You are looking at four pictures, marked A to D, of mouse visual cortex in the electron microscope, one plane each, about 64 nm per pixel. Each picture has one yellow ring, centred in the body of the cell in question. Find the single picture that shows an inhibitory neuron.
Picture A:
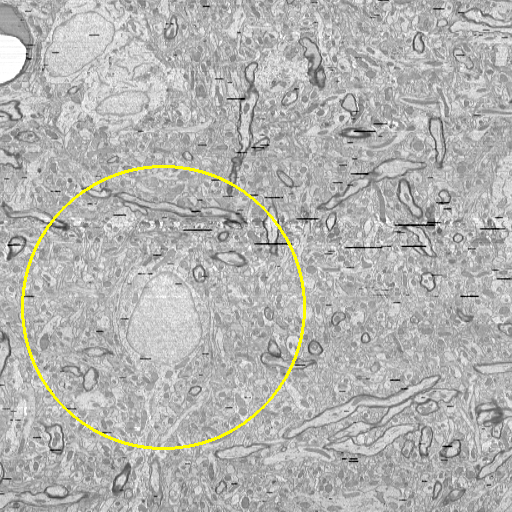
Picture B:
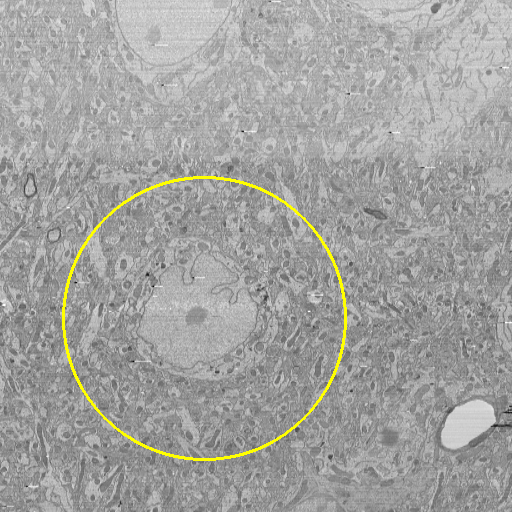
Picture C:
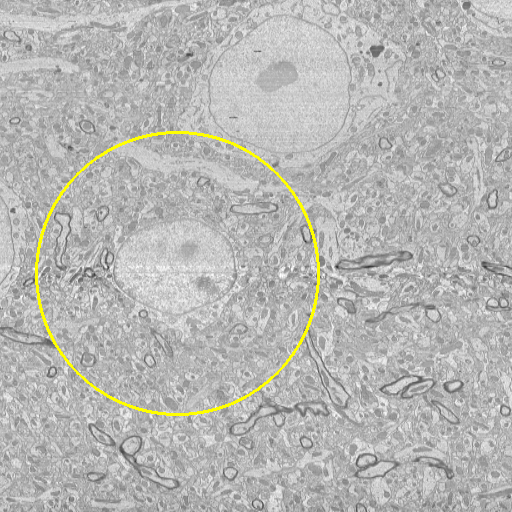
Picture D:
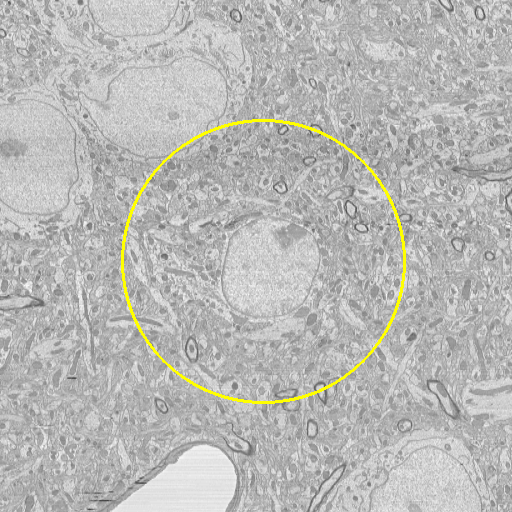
The cell in picture B is the inhibitory neuron.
